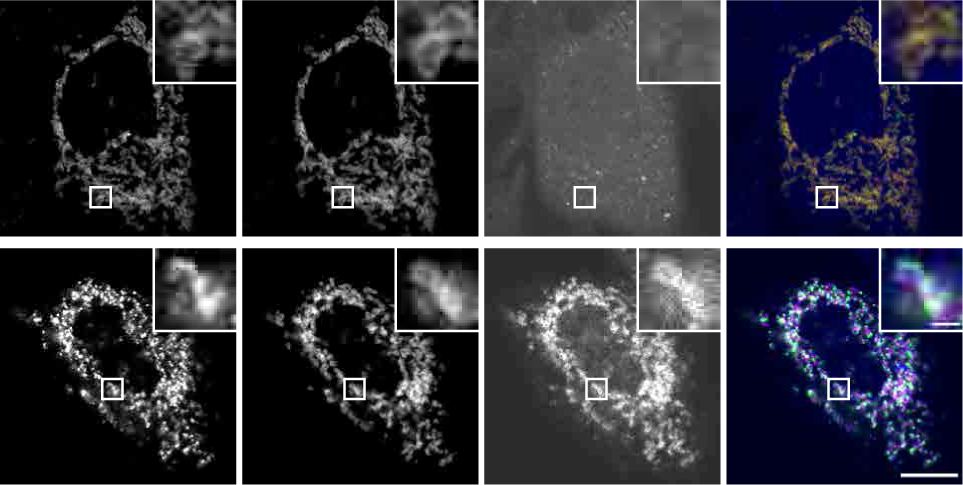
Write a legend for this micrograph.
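In the upper row the first two channels outline a fine, branching, thread-like network of mitochondria spread through the cytoplasm around a dark, unlabelled nucleus, while the third channel fills the cytoplasm diffusely with scattered tiny dots. In the lower row the network is broken into many bright puncta and short fragments clustered around the nucleus, and the third channel now concentrates on these same structures instead of filling the cytoplasm, so the merge shows overlapping colours on the fragments. The insets enlarge small boxed regions.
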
